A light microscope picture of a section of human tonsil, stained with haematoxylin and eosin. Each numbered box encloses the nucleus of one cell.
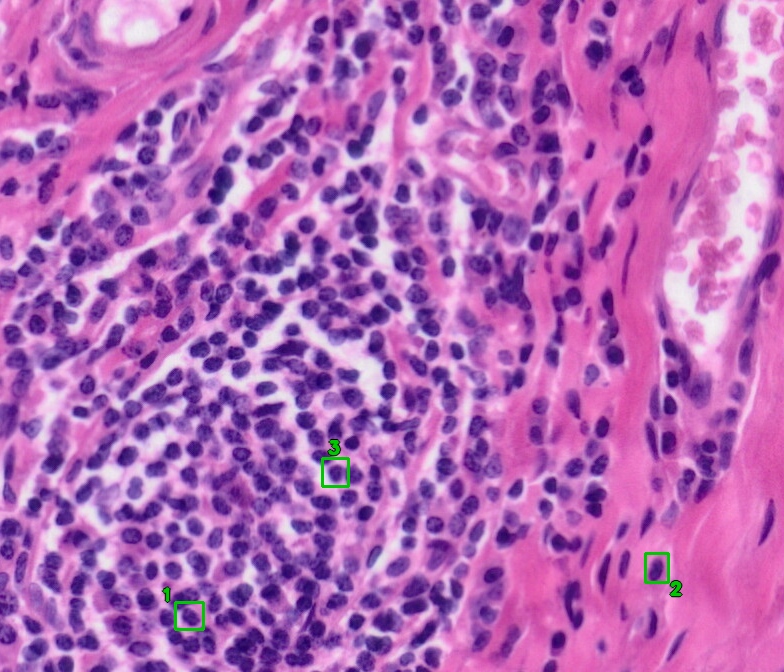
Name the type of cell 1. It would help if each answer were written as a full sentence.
The cell with the number 1 is a small lymphocyte.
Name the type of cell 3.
The cell marked with the number 3 is a small lymphocyte.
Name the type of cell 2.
The cell marked with the number 2 is a mast cell.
